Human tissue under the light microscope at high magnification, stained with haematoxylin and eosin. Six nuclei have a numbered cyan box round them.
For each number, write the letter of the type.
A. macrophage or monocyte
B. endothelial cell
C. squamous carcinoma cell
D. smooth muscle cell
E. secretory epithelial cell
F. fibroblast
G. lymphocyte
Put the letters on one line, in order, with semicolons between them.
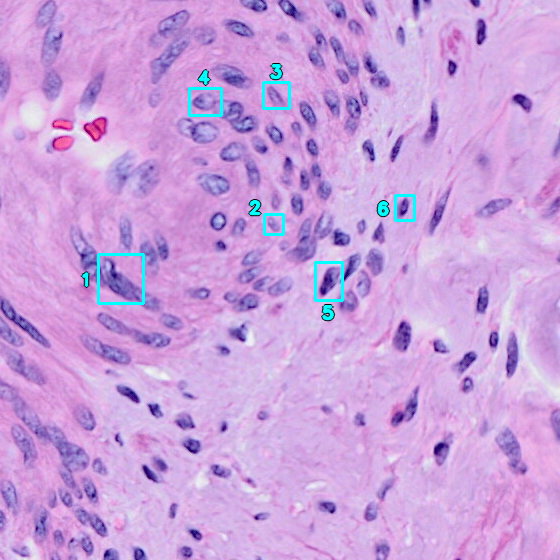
D; D; D; D; G; F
